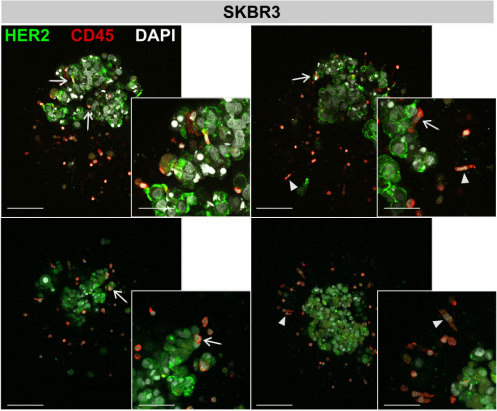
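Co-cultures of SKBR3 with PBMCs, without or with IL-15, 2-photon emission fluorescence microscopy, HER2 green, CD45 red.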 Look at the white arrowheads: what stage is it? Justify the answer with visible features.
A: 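Elongated morphology. The red cells under the arrowheads are drawn out and spindle-like.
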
